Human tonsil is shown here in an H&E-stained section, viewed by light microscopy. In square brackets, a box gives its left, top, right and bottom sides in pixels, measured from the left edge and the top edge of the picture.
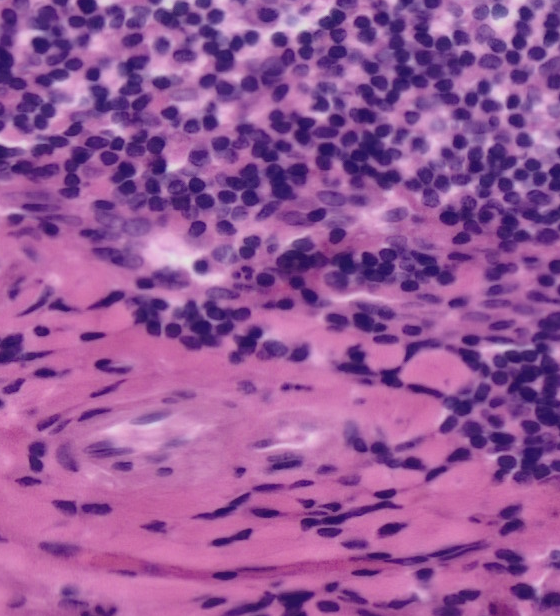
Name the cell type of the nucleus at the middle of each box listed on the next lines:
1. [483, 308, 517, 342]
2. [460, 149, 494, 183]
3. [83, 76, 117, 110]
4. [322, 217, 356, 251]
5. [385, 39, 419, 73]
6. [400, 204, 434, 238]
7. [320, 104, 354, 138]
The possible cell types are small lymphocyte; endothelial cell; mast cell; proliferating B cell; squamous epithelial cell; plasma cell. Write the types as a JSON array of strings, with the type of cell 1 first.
["endothelial cell", "small lymphocyte", "small lymphocyte", "endothelial cell", "small lymphocyte", "endothelial cell", "small lymphocyte"]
